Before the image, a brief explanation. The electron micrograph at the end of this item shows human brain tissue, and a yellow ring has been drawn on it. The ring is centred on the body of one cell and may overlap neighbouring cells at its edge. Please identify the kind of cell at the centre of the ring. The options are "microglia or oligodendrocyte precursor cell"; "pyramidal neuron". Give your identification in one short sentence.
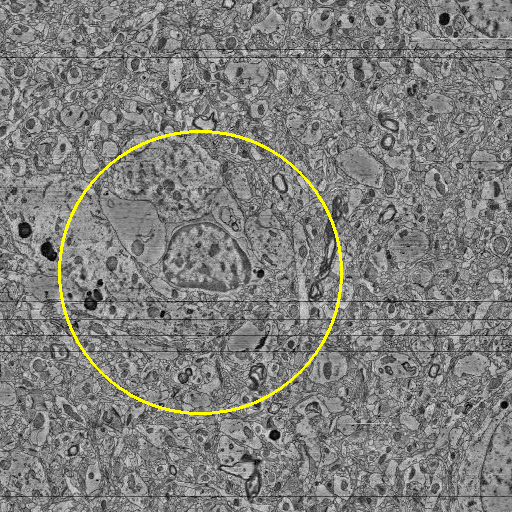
The ring has been placed around a microglial cell or oligodendrocyte precursor cell.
